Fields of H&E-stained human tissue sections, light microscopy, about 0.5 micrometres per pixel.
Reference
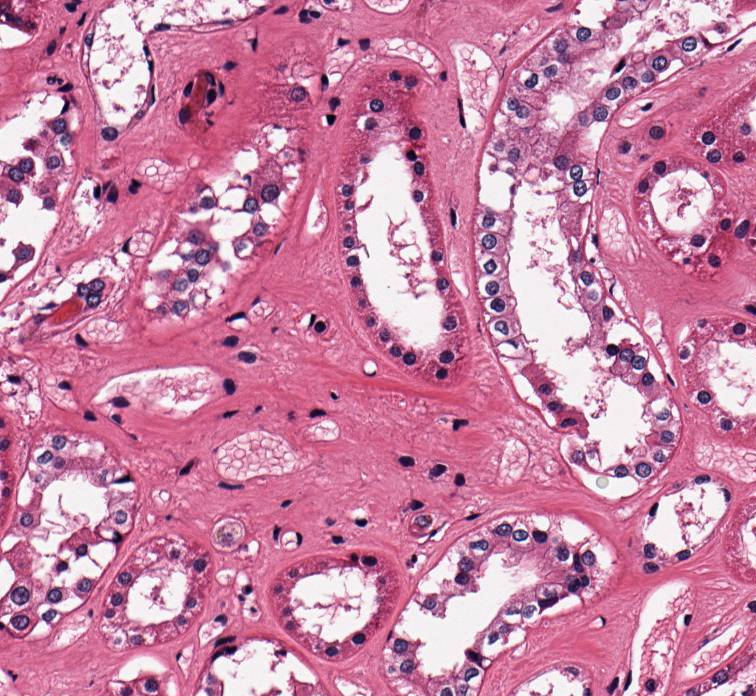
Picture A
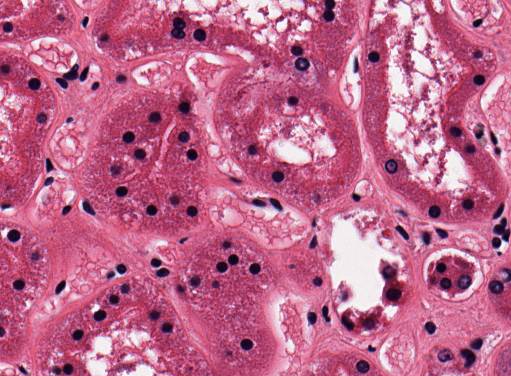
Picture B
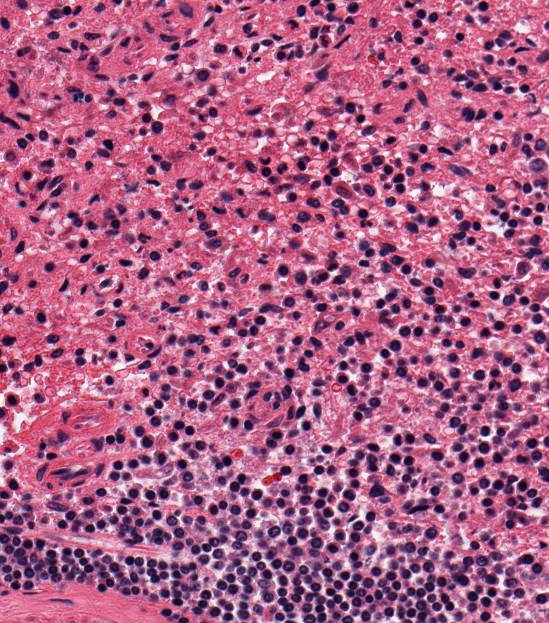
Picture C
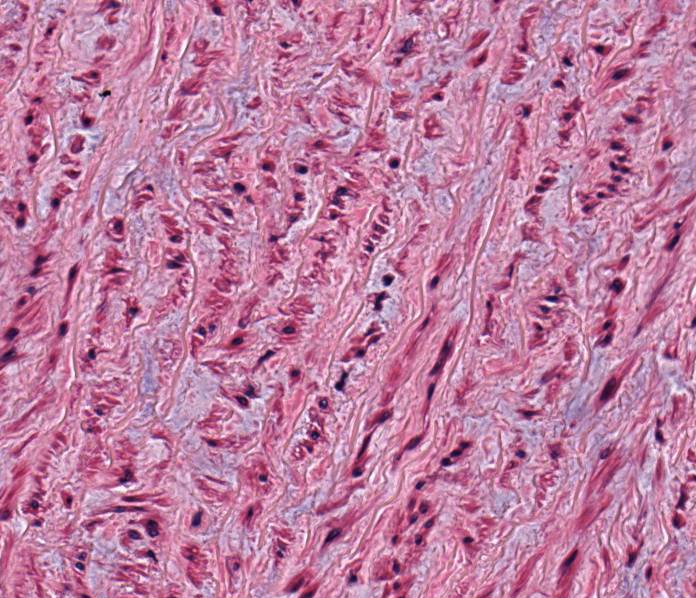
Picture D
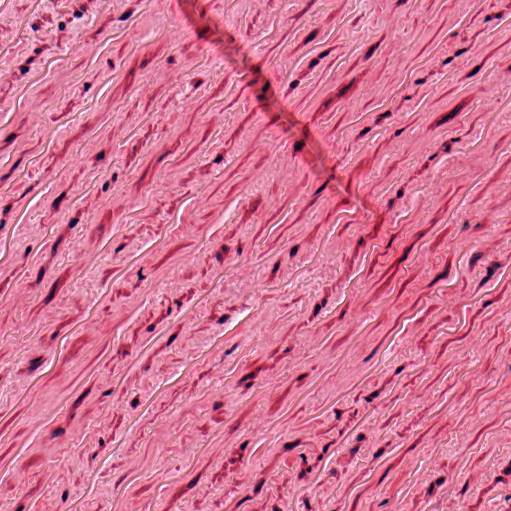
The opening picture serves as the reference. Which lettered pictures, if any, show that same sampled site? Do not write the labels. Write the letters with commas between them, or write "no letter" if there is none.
A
